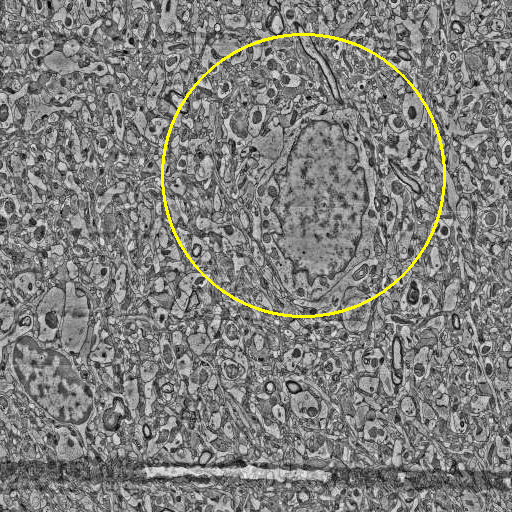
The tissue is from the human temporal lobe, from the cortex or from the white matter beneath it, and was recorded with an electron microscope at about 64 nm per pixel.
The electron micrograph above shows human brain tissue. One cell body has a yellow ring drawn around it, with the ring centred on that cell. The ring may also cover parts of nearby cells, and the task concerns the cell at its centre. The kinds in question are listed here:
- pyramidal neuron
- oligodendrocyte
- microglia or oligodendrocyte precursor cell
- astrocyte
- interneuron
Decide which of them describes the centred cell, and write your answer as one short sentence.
The centred cell is an interneuron.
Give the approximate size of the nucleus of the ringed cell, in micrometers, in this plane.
Approximately 10 by 6 micrometers in this plane.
